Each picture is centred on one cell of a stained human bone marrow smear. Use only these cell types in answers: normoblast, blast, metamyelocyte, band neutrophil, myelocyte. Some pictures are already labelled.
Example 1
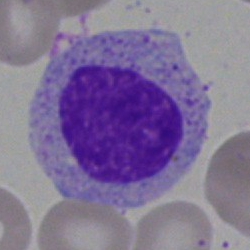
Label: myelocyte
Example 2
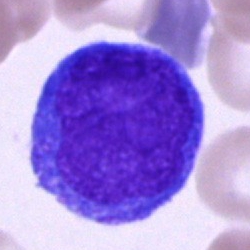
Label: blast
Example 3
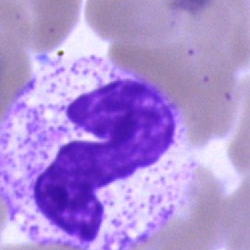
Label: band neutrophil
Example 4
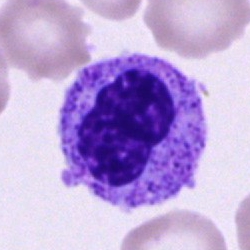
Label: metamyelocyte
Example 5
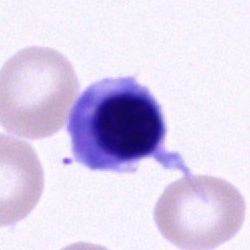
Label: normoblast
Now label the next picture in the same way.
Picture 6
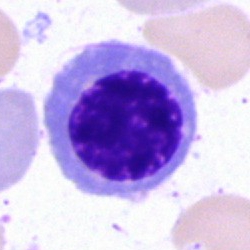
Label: normoblast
